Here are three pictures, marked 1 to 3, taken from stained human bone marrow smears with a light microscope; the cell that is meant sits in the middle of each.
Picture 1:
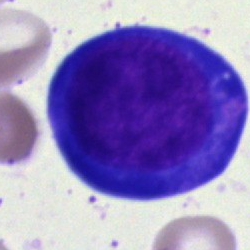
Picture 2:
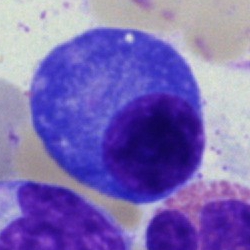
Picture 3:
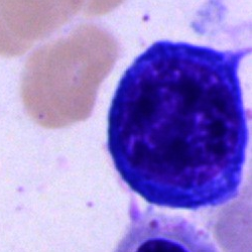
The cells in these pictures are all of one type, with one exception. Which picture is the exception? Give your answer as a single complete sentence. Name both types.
The others show proerythroblasts, but picture 2 shows a plasma cell.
